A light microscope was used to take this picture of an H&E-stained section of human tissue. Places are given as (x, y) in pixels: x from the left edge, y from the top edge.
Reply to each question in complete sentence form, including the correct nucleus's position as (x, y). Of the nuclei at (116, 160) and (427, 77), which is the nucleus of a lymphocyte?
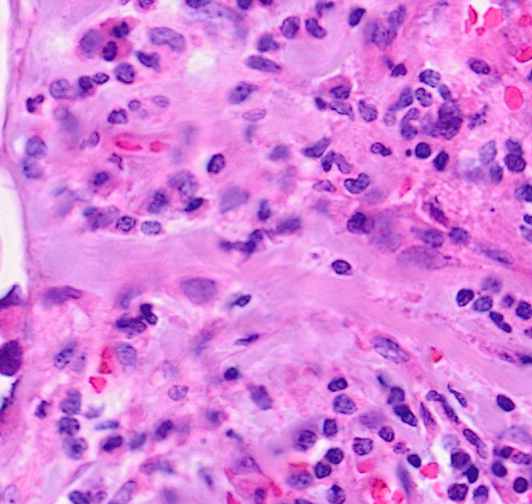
Identified as belonging to a lymphocyte is the nucleus at (427, 77).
